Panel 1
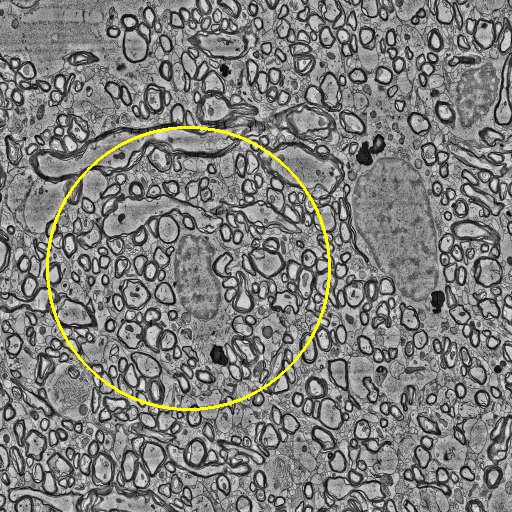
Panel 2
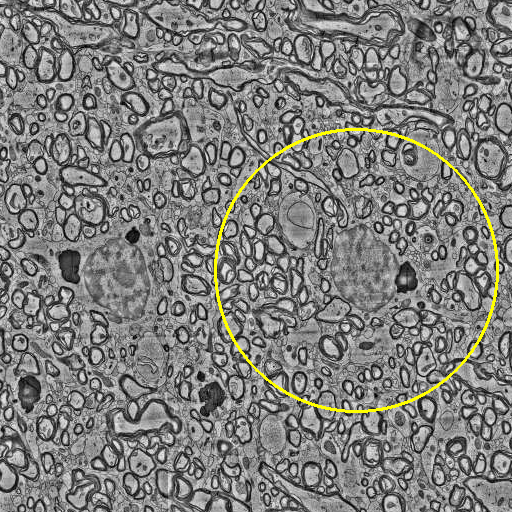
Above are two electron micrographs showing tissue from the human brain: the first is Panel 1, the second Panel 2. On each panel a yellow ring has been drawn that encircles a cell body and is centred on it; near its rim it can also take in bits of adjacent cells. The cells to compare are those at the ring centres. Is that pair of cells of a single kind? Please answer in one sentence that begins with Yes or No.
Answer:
Yes, the ring-centred cells of Panel 1 and Panel 2 belong to one kind.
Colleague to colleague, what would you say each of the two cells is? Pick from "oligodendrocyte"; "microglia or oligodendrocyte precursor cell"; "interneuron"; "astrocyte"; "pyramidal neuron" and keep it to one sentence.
Each one of the two ringed cells is an oligodendrocyte.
